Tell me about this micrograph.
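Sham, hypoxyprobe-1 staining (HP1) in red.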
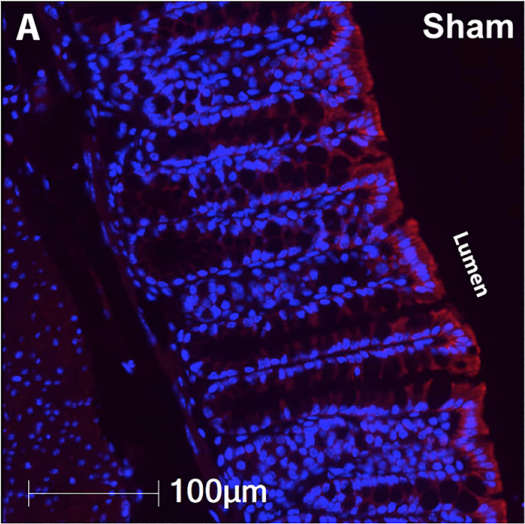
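Colonic mucosa in which long, straight crypts run side by side from the luminal surface down toward the base, each lined by a single layer of epithelial cells whose blue nuclei form neat rows along the crypt walls. Weak red staining is confined to a thin band at the luminal surface epithelium, while the deeper crypts and the tissue toward the bottom show almost only blue nuclei.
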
